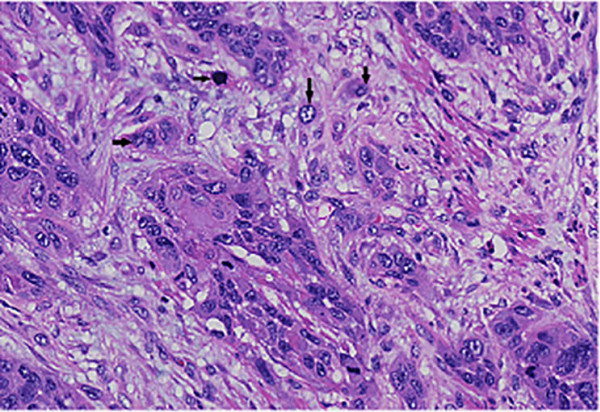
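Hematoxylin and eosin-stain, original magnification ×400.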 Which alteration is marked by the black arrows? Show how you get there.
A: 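The arrows point to isolated single cells lying in loose, pale stroma. The marked cells have dark, enlarged nuclei like those of the neighbouring tumor nests. So: Single cell invasion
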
